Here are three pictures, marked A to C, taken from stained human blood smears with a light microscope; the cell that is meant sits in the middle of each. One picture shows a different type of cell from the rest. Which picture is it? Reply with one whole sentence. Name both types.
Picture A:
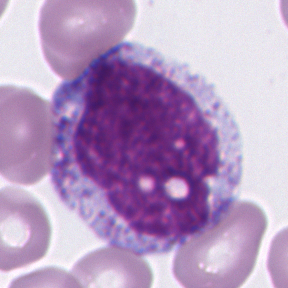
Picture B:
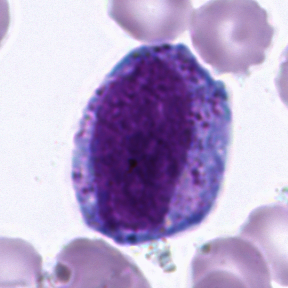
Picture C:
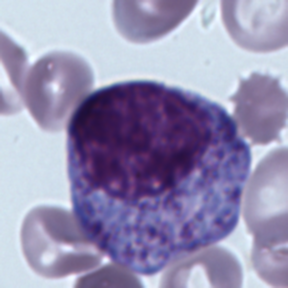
Picture C is the odd one out: it shows a myelocyte, while the others show promyelocytes.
